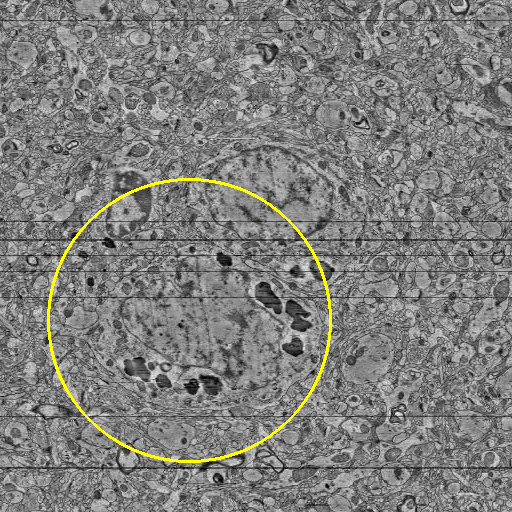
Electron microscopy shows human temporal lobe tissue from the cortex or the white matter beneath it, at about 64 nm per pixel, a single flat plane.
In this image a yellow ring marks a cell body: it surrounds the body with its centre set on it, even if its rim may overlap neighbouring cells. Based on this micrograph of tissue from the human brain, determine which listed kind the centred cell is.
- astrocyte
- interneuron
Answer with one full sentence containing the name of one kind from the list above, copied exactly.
It is an interneuron whose body the yellow ring encloses at its centre.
